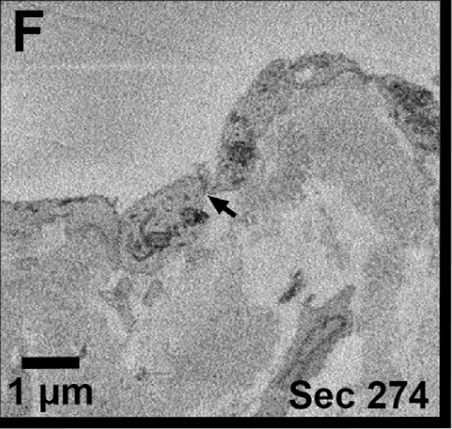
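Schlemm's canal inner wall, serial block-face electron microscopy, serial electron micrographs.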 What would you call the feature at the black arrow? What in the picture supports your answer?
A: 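Cellular junction. The arrow points to a continuous contact between the edges of two adjacent lining cells.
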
